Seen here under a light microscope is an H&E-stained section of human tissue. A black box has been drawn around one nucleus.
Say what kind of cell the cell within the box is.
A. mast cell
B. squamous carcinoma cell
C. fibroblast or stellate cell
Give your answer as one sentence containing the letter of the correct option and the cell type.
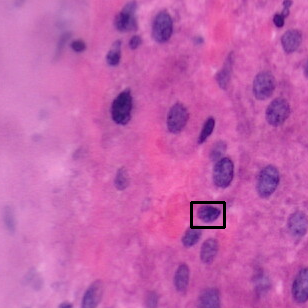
Option C gives the correct identity of the cell within the box, which is a fibroblast or stellate cell.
